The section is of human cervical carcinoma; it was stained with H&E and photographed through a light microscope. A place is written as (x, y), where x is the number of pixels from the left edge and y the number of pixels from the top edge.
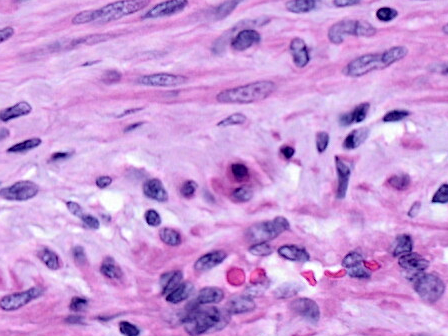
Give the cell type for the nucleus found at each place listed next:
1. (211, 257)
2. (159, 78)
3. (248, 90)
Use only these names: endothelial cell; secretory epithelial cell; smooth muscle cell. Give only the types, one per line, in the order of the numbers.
endothelial cell
smooth muscle cell
smooth muscle cell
